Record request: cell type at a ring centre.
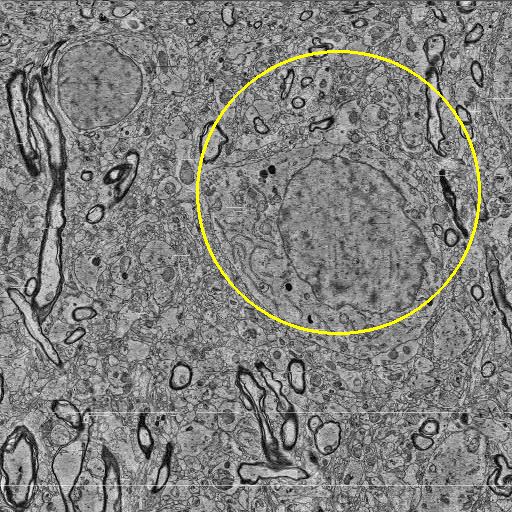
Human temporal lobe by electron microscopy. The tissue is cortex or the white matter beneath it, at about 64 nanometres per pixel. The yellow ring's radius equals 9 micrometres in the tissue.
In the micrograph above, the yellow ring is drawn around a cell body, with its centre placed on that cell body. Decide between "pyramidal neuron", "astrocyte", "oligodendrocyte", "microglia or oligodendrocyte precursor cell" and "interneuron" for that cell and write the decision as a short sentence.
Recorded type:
The cell centred in the yellow ring is an interneuron.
